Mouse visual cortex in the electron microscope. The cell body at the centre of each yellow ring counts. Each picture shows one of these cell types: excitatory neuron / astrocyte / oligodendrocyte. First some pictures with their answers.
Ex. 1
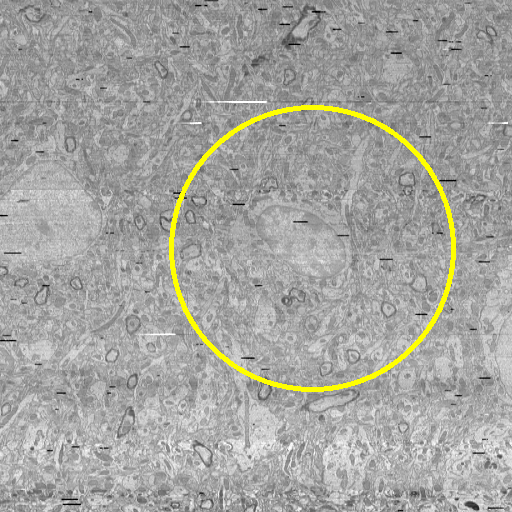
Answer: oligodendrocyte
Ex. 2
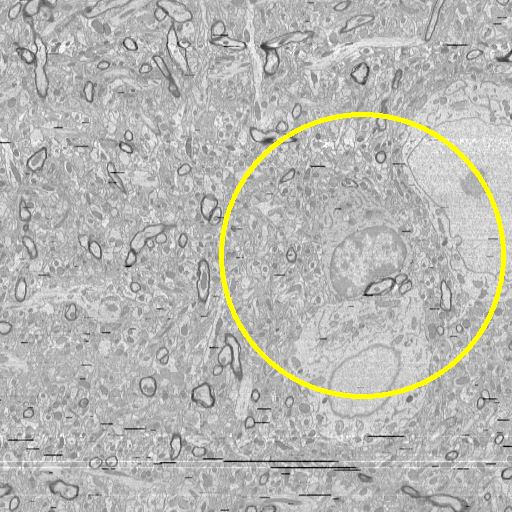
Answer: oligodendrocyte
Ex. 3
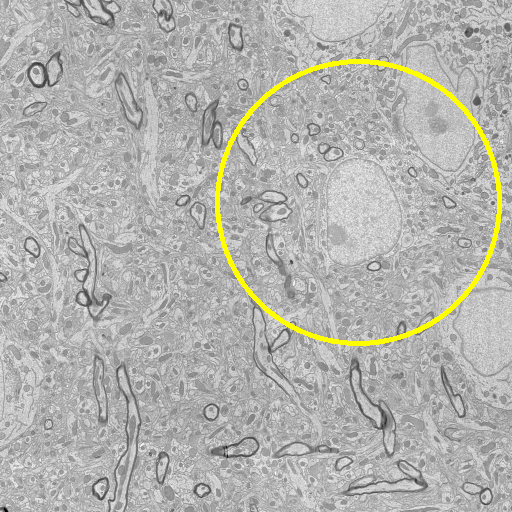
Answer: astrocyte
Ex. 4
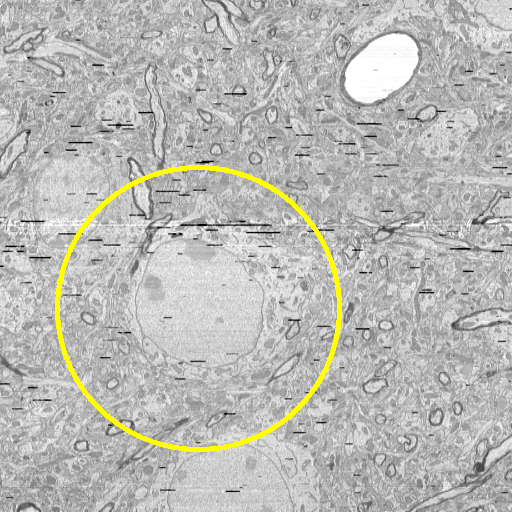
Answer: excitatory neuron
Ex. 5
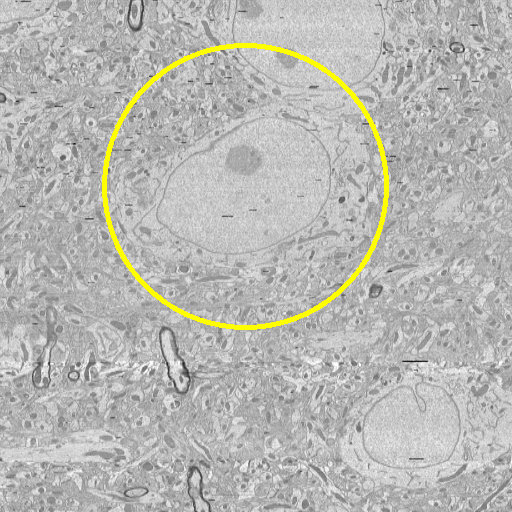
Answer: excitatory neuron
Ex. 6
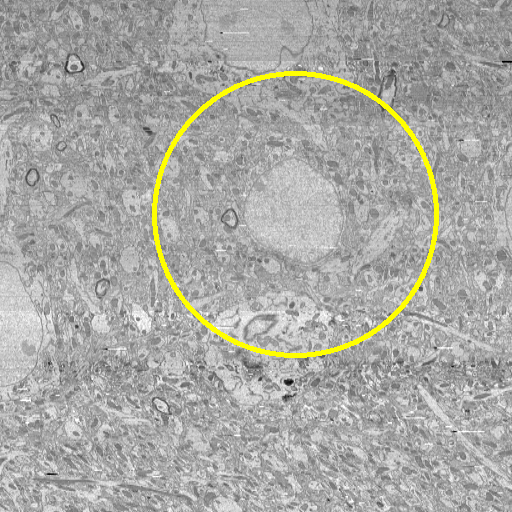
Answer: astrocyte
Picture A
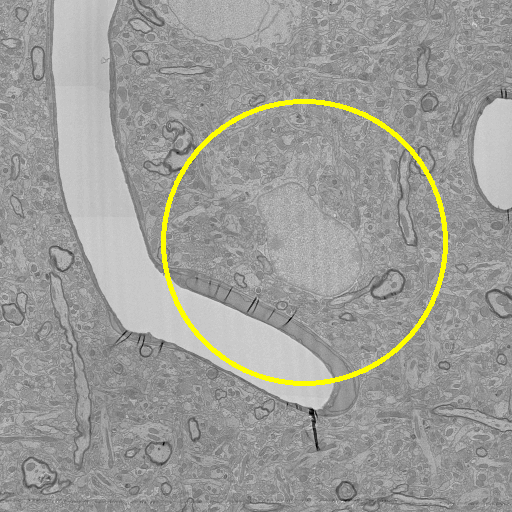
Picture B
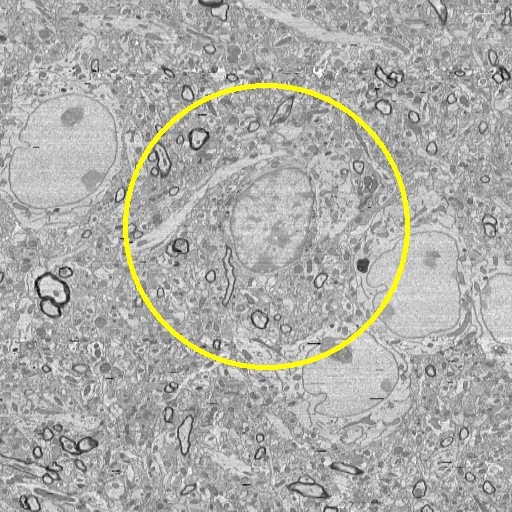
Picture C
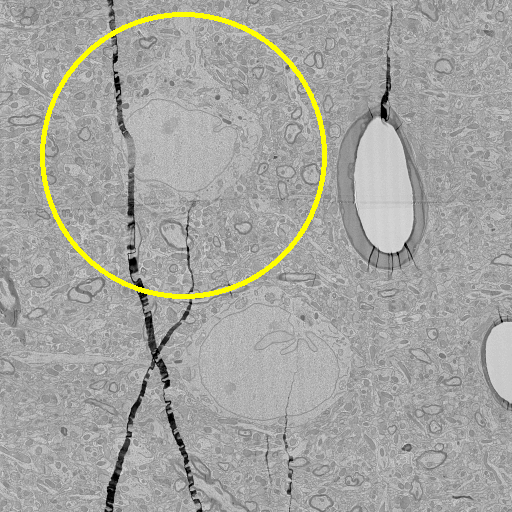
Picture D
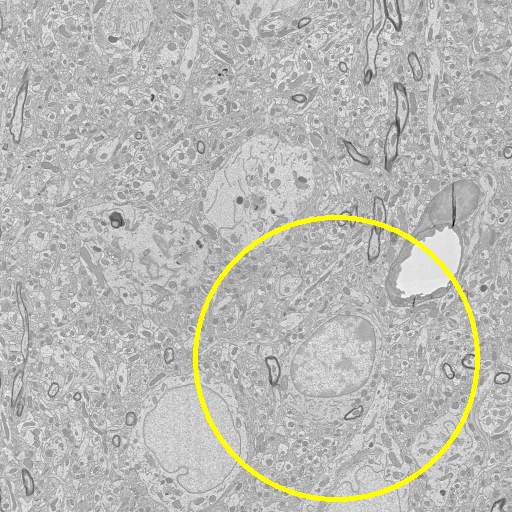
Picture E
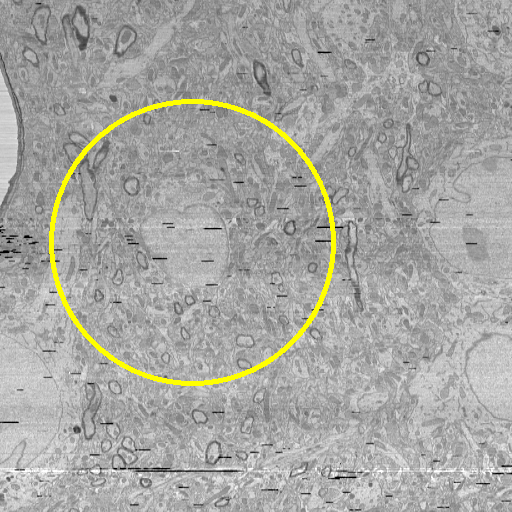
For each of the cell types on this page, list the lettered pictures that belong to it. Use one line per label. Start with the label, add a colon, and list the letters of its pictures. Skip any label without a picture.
excitatory neuron: C
astrocyte: A, E
oligodendrocyte: B, D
